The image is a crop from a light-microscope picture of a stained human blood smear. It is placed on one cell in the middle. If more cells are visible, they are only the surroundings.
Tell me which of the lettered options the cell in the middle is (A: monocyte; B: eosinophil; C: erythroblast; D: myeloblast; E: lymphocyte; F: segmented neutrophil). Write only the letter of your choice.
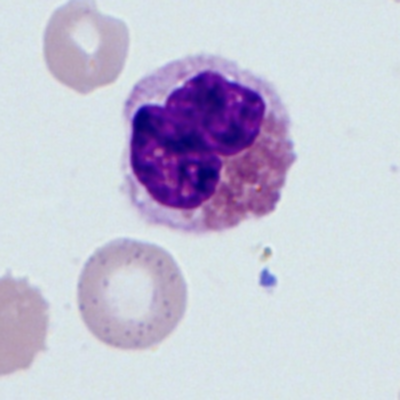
B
